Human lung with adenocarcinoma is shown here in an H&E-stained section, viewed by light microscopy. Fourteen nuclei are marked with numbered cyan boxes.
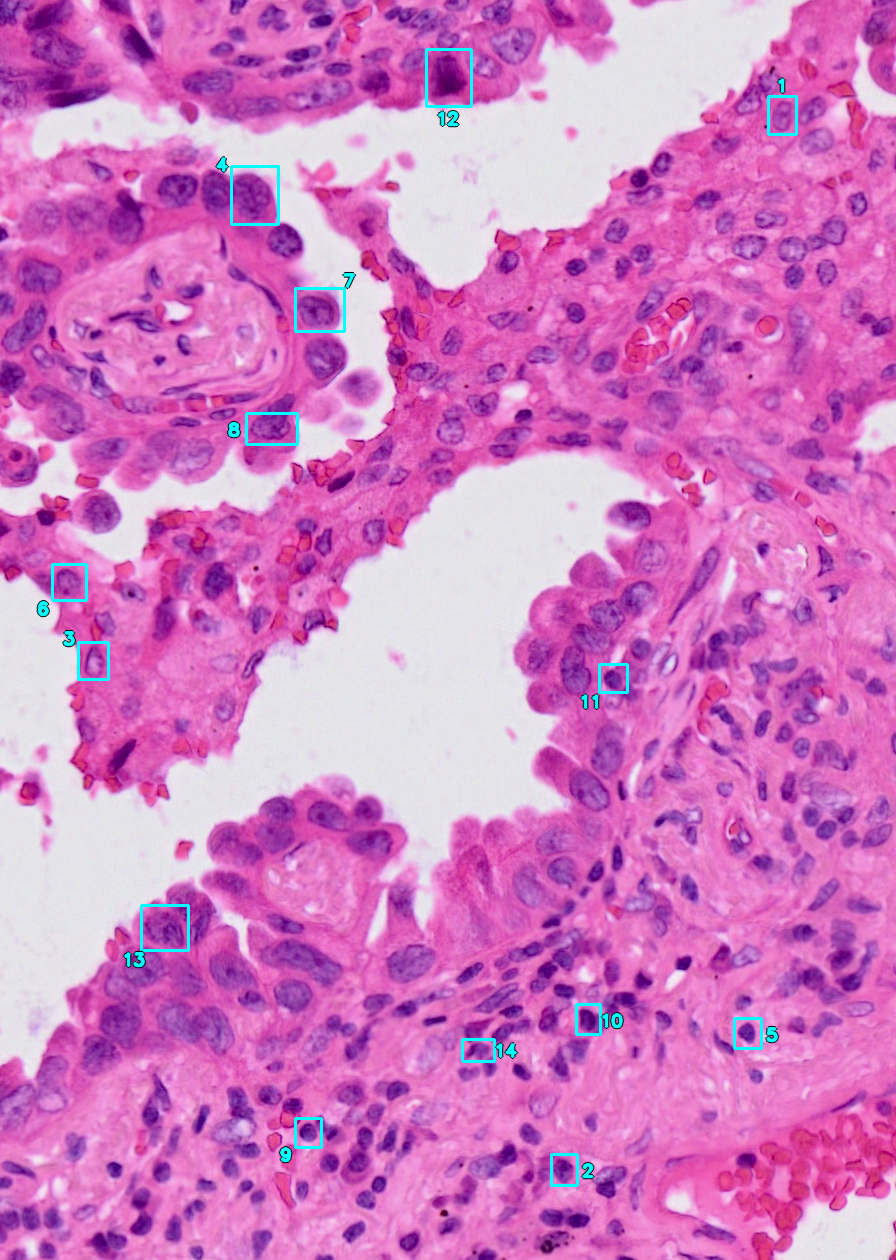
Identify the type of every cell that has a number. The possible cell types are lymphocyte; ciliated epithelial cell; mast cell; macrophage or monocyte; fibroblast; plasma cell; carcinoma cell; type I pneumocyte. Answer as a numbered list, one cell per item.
1. macrophage or monocyte
2. plasma cell
3. macrophage or monocyte
4. carcinoma cell
5. lymphocyte
6. macrophage or monocyte
7. carcinoma cell
8. carcinoma cell
9. lymphocyte
10. lymphocyte
11. lymphocyte
12. carcinoma cell
13. carcinoma cell
14. lymphocyte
